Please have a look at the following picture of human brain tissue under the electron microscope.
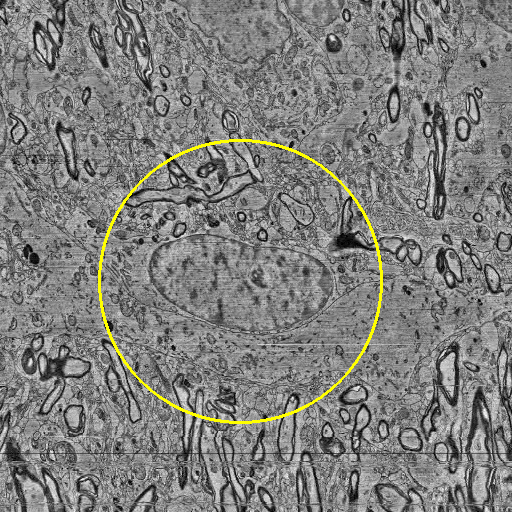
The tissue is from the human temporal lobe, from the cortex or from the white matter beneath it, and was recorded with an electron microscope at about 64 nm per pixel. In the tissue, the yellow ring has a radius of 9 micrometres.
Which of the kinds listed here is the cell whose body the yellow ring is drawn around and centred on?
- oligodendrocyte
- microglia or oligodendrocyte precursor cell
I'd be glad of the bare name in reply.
microglia or oligodendrocyte precursor cell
